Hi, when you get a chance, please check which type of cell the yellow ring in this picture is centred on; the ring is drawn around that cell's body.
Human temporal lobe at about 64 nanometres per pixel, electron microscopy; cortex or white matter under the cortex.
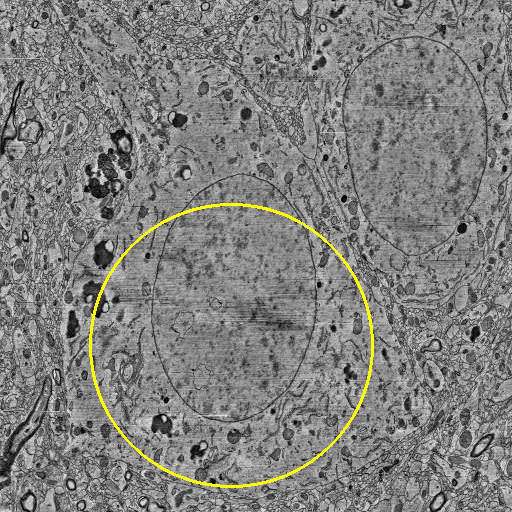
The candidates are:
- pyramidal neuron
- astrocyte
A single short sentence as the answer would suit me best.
The ring is drawn around the body of a pyramidal neuron.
